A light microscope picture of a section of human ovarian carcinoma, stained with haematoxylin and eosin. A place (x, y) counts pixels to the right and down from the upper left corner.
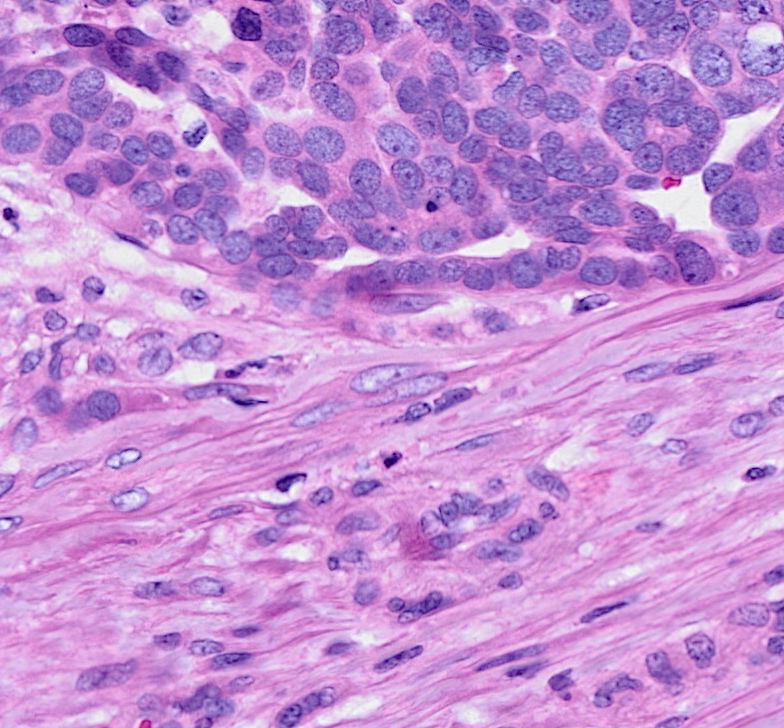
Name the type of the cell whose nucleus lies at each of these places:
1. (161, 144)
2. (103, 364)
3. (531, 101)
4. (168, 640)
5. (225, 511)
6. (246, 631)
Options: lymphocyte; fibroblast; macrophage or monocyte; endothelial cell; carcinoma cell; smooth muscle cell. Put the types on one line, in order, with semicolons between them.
carcinoma cell; fibroblast; carcinoma cell; fibroblast; fibroblast; fibroblast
